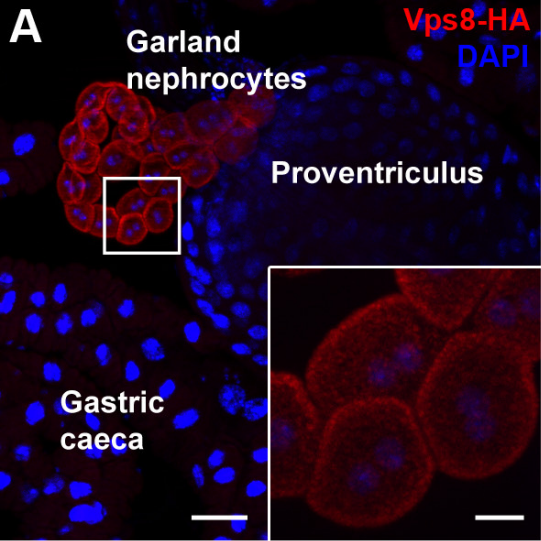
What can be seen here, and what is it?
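The gut regions show many small blue nuclei packed in epithelial sheets with little red. In the enlarged inset the red is densest at the cell periphery, forming a bright rim just under the surface, while the cytoplasm inside is finely granular and paler red around the faint nucleus.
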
